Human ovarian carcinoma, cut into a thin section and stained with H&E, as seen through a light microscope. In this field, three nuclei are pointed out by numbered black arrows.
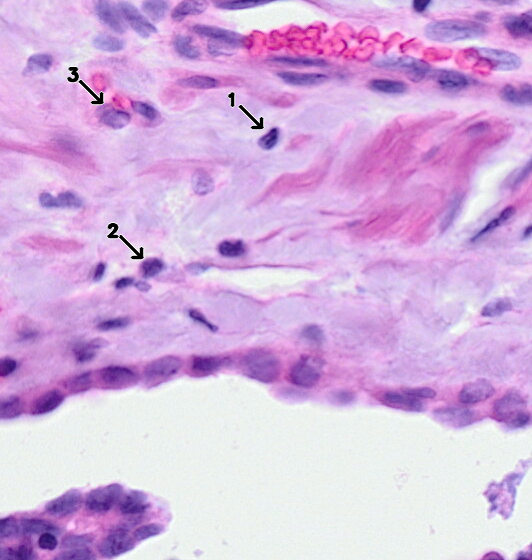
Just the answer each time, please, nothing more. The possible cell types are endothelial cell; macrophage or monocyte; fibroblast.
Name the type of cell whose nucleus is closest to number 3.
endothelial cell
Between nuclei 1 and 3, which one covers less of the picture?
1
